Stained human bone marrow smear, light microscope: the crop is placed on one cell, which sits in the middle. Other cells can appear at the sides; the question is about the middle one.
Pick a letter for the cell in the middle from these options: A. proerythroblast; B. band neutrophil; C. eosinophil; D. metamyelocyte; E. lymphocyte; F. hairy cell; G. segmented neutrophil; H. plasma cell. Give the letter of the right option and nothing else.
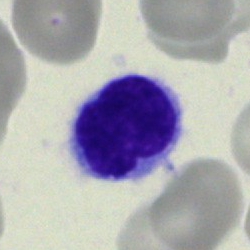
F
